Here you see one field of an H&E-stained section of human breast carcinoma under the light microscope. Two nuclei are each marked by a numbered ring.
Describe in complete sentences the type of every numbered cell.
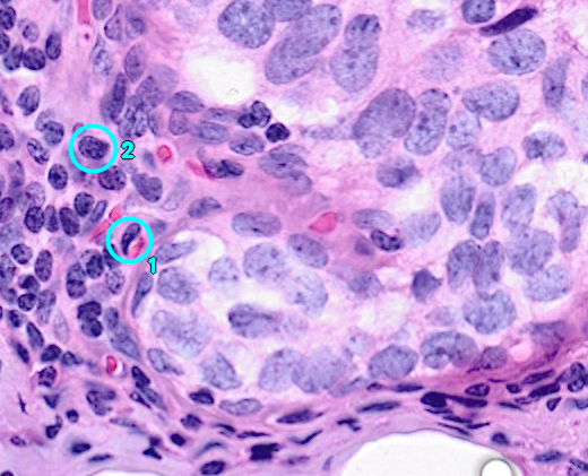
Cell 1 is an endothelial cell. Cell 2 is a lymphocyte.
